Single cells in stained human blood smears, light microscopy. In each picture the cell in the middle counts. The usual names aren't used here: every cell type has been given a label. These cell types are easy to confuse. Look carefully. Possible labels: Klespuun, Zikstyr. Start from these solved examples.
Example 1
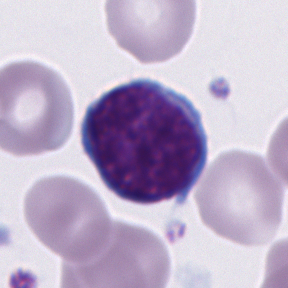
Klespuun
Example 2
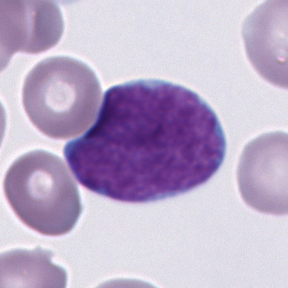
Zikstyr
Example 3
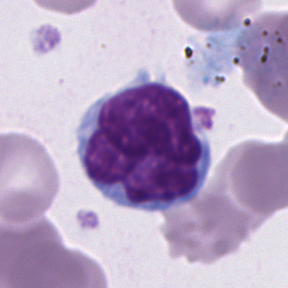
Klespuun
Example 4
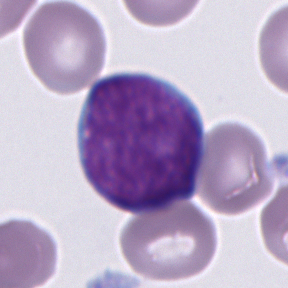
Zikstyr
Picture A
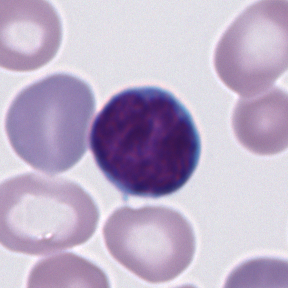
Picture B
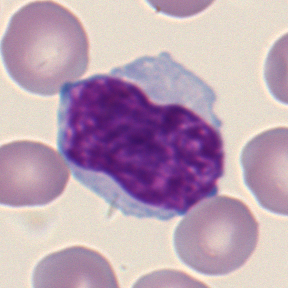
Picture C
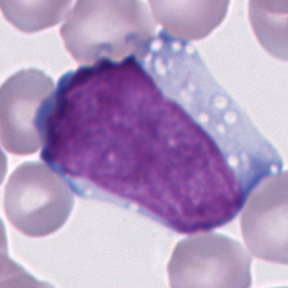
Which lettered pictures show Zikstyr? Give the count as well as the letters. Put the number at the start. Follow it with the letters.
Count: 2 (B, C)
